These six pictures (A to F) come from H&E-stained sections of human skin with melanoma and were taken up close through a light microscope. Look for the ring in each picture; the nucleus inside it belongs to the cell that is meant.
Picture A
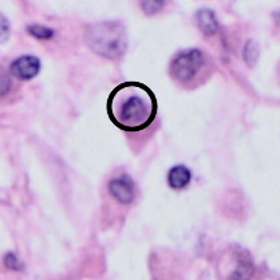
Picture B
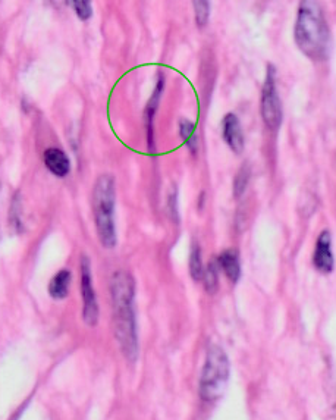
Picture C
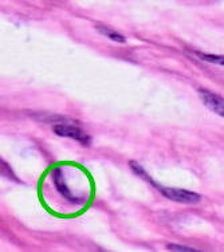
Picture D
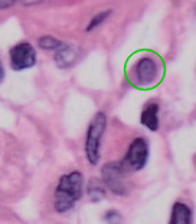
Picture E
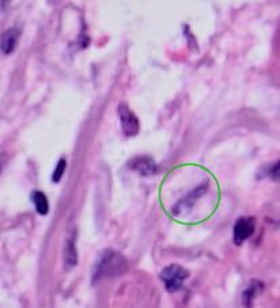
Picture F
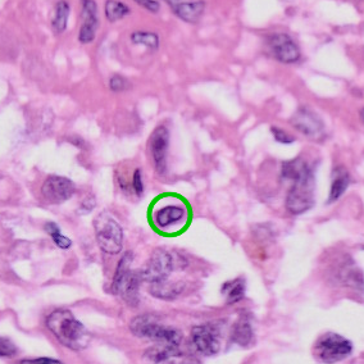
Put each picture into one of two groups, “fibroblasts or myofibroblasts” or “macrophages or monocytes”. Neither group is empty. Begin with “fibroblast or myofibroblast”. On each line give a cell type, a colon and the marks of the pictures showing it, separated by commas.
fibroblast or myofibroblast: B, C, E
macrophage or monocyte: A, D, F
